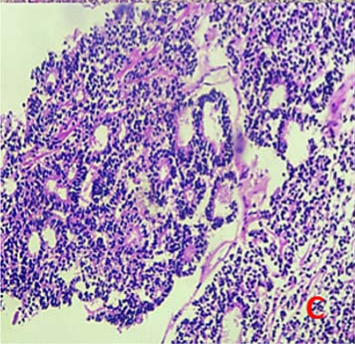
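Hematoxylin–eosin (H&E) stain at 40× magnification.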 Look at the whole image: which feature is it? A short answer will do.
Primitive tubular structures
